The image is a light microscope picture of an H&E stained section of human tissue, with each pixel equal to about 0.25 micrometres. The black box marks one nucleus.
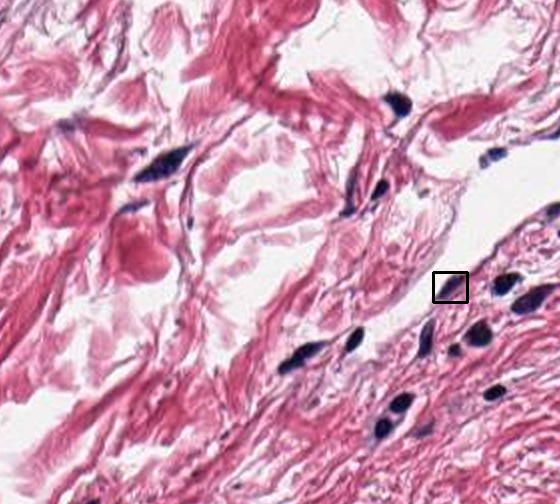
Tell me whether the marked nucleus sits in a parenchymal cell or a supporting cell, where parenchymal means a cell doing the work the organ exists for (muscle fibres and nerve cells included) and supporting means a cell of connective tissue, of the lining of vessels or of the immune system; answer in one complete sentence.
The indicated nucleus in this section belongs to a supporting cell.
